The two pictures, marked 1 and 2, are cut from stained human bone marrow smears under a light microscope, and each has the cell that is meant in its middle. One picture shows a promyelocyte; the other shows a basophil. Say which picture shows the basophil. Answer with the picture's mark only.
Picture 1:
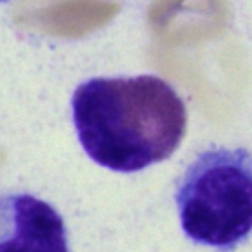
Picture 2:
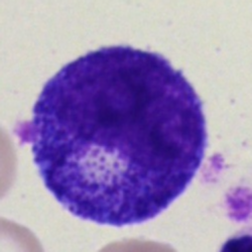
1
